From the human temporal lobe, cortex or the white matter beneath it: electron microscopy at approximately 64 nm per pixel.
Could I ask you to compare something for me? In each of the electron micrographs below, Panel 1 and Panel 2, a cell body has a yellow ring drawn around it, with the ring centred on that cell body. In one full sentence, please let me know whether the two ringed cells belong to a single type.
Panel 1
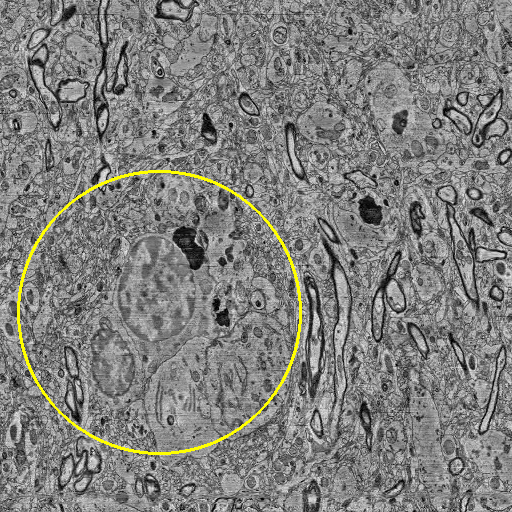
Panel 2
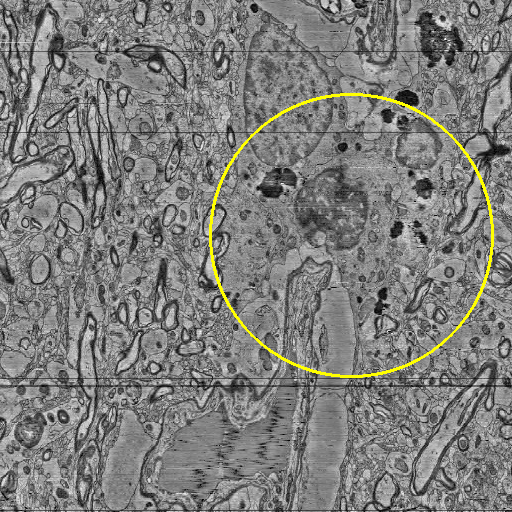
Yes, the two cells at the centres of the rings are of one type.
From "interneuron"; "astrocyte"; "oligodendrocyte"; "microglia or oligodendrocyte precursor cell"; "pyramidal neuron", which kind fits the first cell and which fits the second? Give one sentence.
The first and the second cell are each an oligodendrocyte.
